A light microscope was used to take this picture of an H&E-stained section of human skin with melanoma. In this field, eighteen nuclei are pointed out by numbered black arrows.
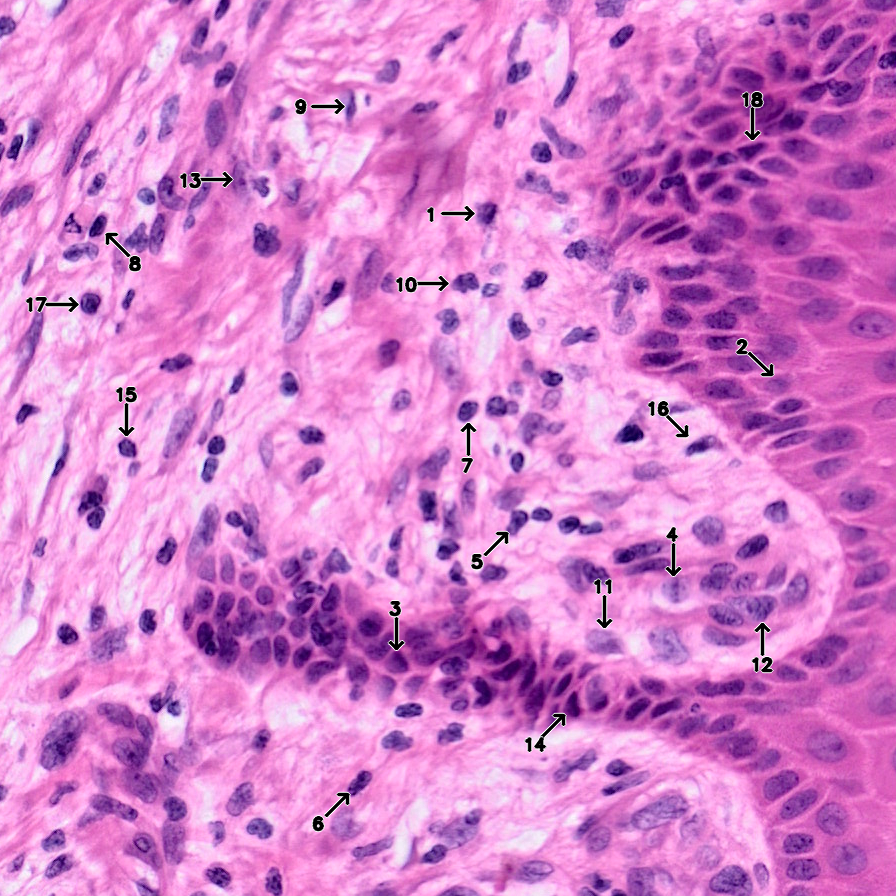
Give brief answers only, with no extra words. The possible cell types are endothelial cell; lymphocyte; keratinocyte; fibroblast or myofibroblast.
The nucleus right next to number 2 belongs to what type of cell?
keratinocyte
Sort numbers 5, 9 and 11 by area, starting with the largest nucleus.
11, 5, 9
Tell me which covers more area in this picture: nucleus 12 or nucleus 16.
12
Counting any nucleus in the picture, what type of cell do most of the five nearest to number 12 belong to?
endothelial cell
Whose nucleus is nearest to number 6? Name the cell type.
fibroblast or myofibroblast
